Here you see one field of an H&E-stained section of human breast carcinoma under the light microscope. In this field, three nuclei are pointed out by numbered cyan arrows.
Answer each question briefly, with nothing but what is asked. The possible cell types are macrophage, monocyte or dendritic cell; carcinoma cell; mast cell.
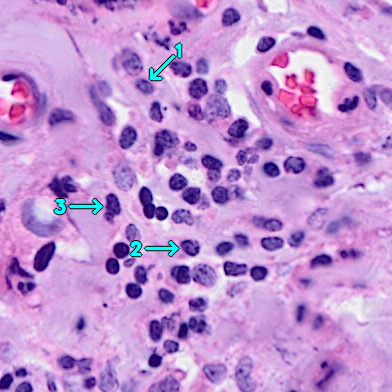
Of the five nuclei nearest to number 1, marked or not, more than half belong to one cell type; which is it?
macrophage, monocyte or dendritic cell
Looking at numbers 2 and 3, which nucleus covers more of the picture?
3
